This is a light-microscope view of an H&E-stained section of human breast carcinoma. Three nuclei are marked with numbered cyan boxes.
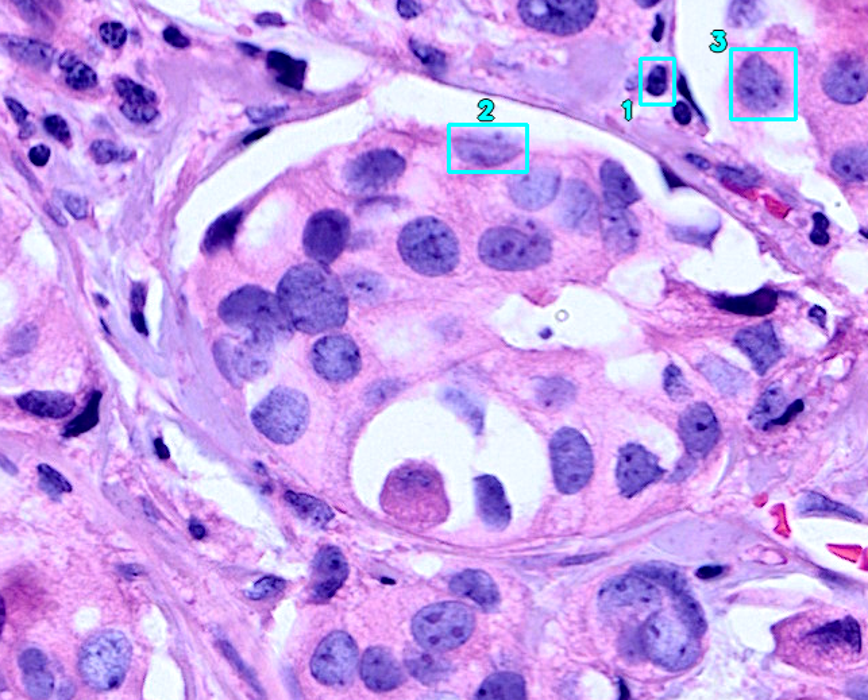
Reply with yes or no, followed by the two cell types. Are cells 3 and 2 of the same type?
Yes, the two cells marked 3 and 2 are both carcinoma cells.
